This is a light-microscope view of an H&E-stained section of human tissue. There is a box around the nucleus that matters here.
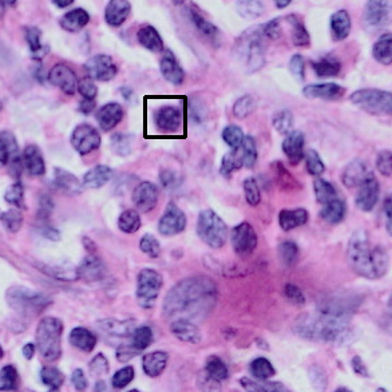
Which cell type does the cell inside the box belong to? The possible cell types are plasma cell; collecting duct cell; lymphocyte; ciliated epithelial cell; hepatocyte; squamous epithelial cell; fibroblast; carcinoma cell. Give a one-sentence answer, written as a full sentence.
Cell type answer for this item: the cell inside the box is a lymphocyte.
